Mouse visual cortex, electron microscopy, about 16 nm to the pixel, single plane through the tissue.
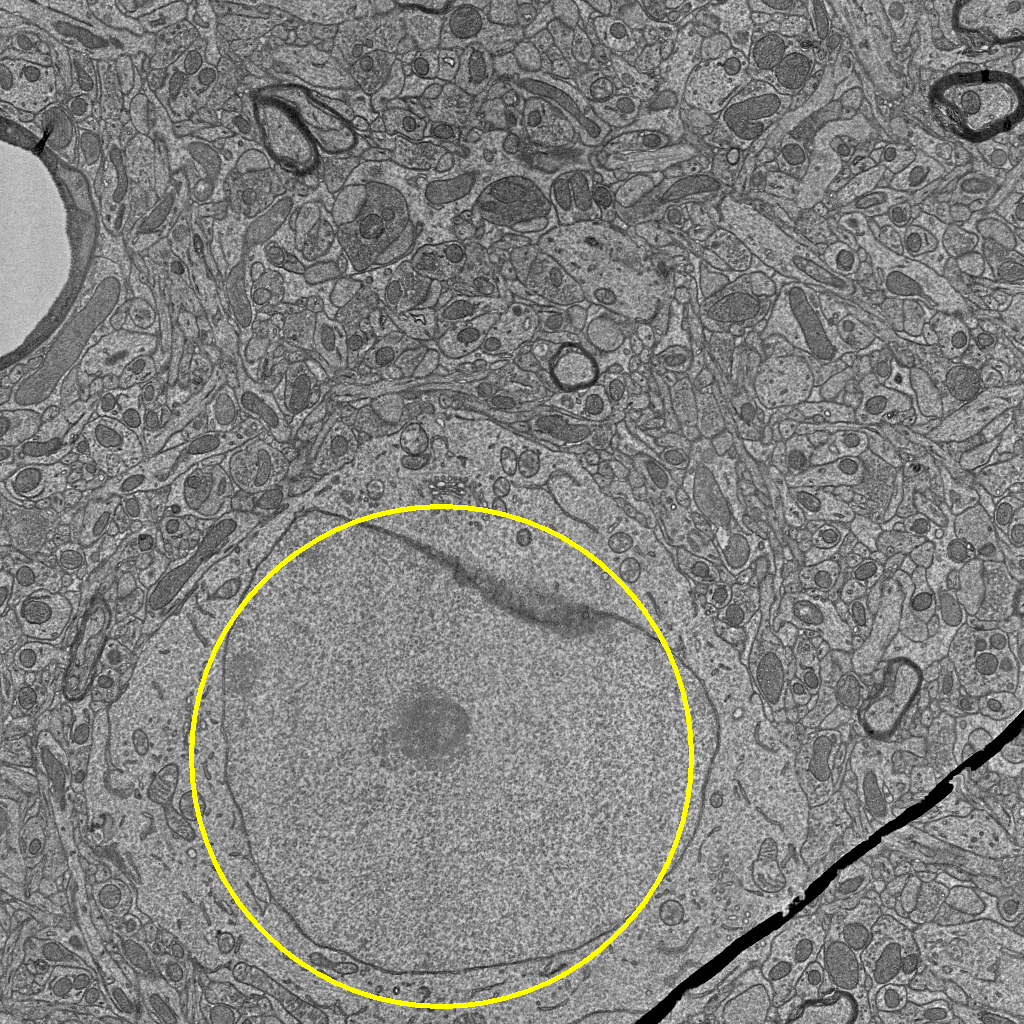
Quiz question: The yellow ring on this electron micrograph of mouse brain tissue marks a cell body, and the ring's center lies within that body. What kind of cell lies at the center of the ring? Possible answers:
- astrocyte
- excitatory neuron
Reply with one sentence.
The ring's center lies on an excitatory neuron.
